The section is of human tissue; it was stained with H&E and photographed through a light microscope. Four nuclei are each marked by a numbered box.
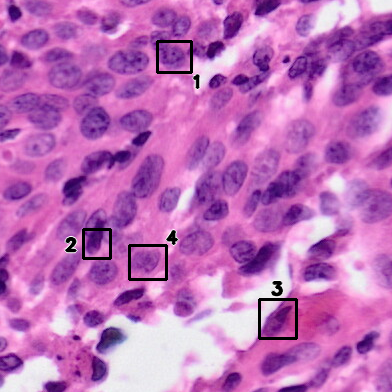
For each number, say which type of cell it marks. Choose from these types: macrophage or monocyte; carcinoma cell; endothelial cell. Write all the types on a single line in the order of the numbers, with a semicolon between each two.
carcinoma cell; carcinoma cell; endothelial cell; carcinoma cell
